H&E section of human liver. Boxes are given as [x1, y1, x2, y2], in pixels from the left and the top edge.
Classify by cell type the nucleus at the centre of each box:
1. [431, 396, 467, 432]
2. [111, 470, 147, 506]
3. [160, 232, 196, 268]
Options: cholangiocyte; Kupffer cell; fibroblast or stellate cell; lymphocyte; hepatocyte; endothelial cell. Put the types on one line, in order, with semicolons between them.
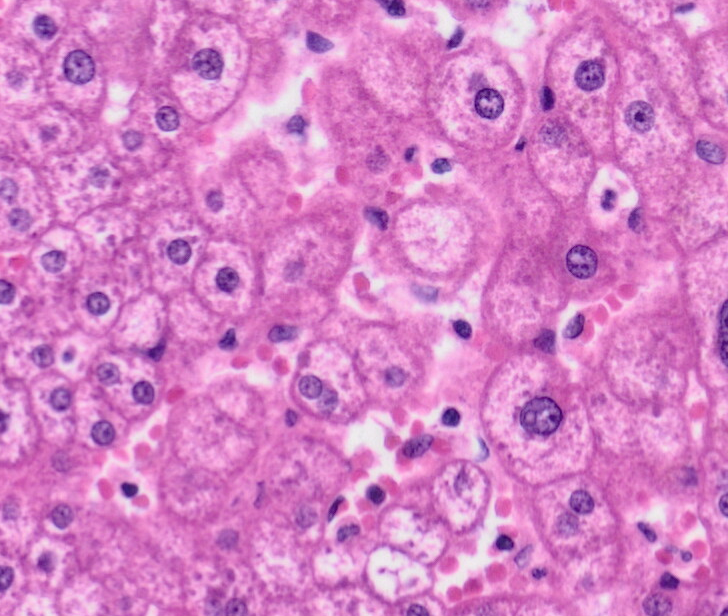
lymphocyte; lymphocyte; hepatocyte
